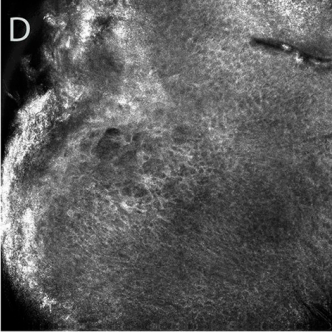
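This is the living epidermis at the level of the spinous keratinocytes, seen face-on as a network of bright cell borders around darker cell interiors. The network is not even: the cells differ in size and shape from place to place, so the usual regular honeycomb is lost across the field. Toward the upper left the image is brighter and less clear.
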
